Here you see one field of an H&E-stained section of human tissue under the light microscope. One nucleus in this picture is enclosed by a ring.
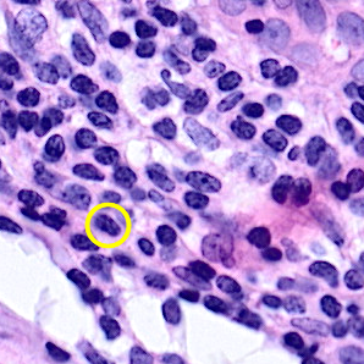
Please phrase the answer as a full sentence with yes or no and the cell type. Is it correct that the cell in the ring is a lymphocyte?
Yes, the cell in the ring in this section represents a lymphocyte.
